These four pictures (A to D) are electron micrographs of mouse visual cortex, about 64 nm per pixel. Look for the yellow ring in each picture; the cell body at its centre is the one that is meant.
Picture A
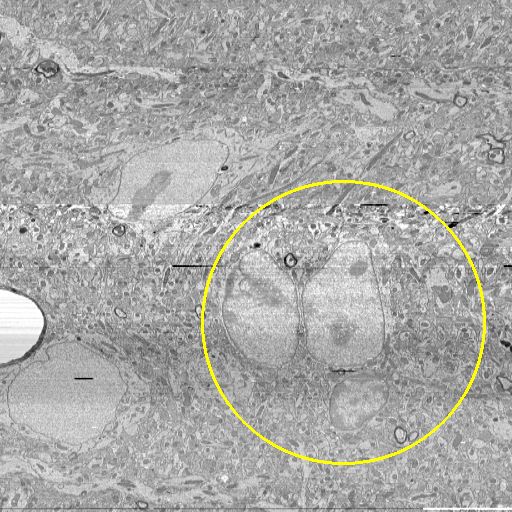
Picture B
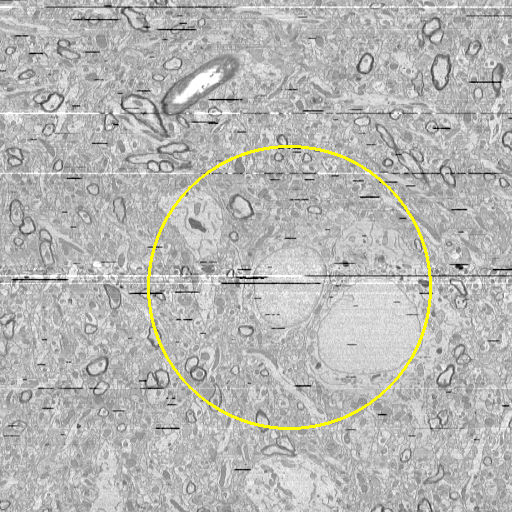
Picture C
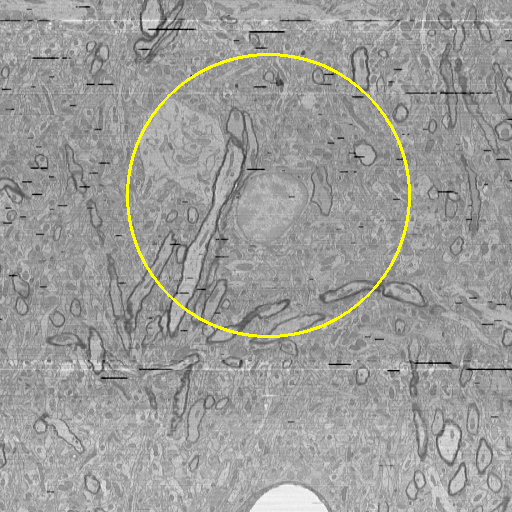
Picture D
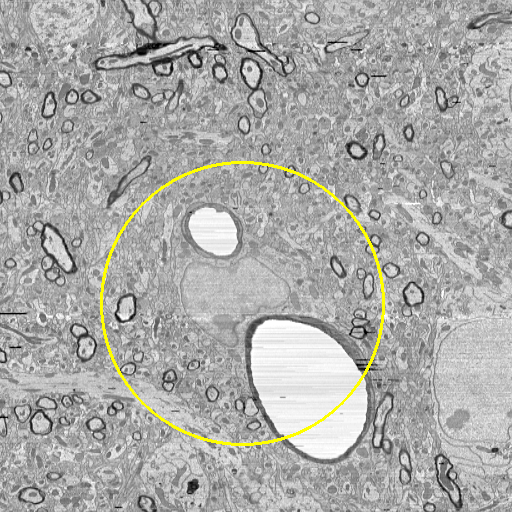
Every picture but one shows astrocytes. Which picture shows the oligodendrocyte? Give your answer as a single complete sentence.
It is picture C that shows the oligodendrocyte.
